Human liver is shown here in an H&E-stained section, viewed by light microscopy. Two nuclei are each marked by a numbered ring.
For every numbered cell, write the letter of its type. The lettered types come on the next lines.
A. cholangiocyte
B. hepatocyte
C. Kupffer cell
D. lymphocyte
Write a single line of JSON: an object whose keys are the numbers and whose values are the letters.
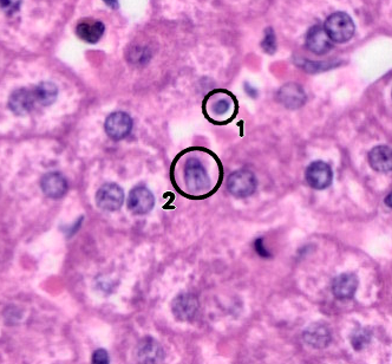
{"1": "D", "2": "C"}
